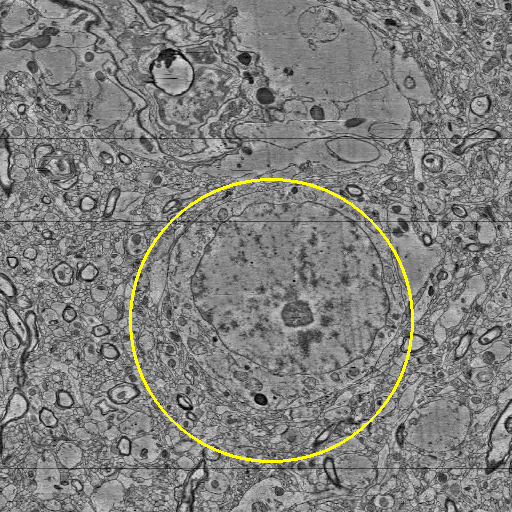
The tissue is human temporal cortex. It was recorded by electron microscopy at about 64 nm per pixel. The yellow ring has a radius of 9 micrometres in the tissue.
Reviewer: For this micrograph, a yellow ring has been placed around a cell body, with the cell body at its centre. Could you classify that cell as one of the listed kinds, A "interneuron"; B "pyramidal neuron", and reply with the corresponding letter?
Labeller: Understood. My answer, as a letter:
B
